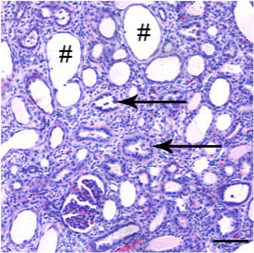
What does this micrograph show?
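This section of kidney shows many tubules markedly widened into large round empty spaces. These dilated tubules are lined by a thin flattened layer of cells. The tissue between the tubules is crowded with many purple nuclei. The regular close packing of tubules is lost.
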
